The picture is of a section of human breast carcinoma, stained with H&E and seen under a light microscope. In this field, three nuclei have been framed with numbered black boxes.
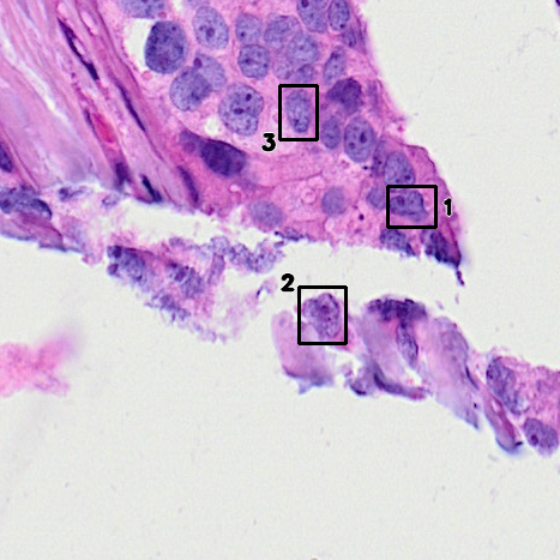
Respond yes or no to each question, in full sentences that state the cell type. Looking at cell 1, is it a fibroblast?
No, the cell indicated by 1 is a carcinoma cell instead of a fibroblast.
